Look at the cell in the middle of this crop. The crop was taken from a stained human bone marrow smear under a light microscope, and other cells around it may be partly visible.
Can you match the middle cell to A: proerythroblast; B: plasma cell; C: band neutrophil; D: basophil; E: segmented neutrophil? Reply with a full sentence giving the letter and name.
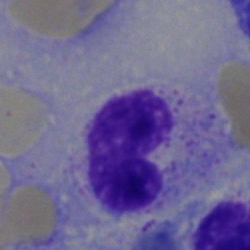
In this crop the central cell is a band neutrophil, which option C correctly states.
